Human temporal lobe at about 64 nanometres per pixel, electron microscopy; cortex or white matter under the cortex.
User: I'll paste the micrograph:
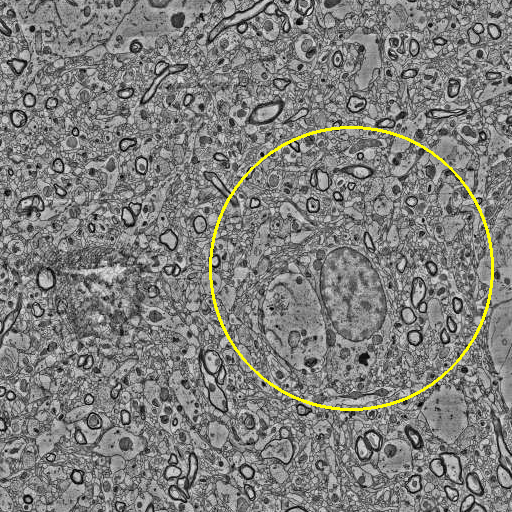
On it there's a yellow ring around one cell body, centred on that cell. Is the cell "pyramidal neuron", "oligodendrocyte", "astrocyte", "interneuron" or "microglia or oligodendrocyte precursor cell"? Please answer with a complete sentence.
The cell ringed in yellow is an oligodendrocyte.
